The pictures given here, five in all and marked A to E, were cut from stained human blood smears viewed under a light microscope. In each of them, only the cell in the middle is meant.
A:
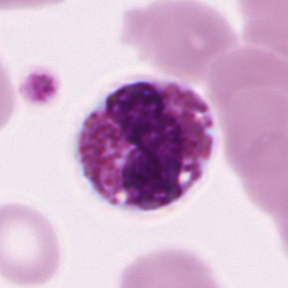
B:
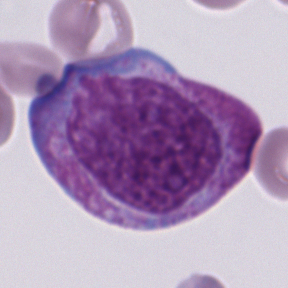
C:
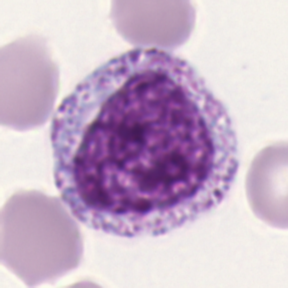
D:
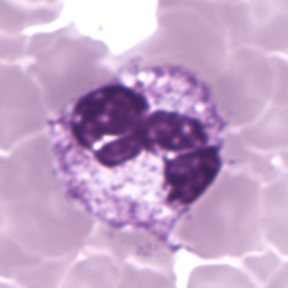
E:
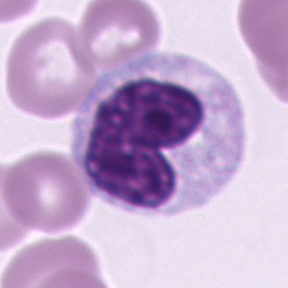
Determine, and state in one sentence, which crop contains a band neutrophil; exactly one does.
Of the crops given, a band neutrophil is found in crop E.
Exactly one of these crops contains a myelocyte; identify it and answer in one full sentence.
It is crop C that shows a myelocyte.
